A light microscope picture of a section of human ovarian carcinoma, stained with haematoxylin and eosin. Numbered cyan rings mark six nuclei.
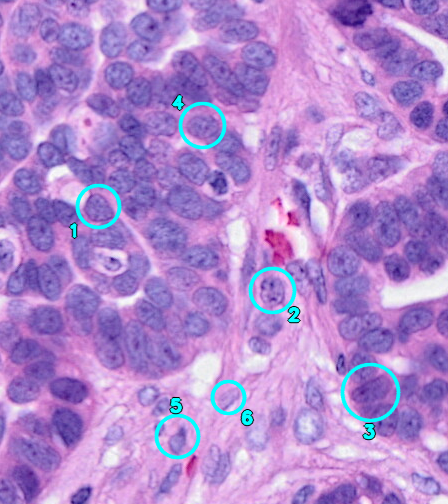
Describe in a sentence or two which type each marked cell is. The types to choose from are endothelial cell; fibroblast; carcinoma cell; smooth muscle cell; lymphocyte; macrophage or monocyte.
Cell 1 is a carcinoma cell, cell 2 is a macrophage or monocyte, cell 3 is a carcinoma cell, cell 4 is a carcinoma cell, cell 5 is a fibroblast and cell 6 is a fibroblast.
